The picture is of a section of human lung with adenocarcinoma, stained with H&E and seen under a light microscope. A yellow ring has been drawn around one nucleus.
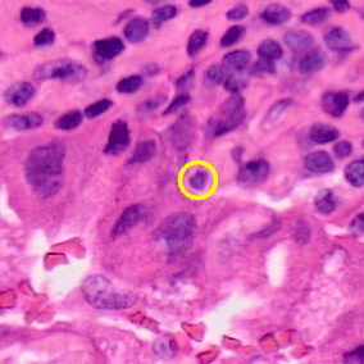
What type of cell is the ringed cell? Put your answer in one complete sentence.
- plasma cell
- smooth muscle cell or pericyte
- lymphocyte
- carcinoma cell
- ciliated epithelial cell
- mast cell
By its classification, the ringed cell is a lymphocyte.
